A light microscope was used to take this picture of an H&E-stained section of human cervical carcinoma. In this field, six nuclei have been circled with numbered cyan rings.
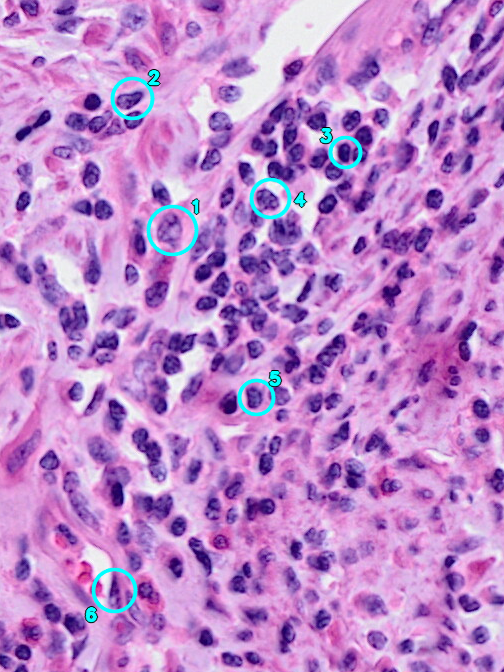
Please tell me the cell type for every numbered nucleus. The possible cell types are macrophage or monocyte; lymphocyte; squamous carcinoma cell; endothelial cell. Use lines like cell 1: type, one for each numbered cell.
cell 1: macrophage or monocyte
cell 2: lymphocyte
cell 3: lymphocyte
cell 4: lymphocyte
cell 5: lymphocyte
cell 6: endothelial cell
